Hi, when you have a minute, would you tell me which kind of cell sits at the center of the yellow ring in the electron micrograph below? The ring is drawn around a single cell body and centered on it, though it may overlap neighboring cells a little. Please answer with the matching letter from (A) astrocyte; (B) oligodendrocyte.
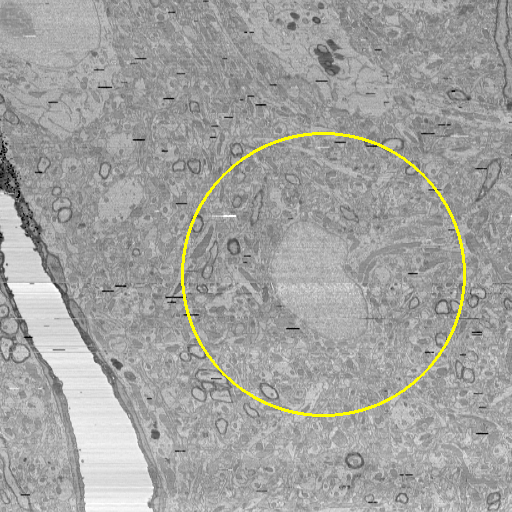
A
